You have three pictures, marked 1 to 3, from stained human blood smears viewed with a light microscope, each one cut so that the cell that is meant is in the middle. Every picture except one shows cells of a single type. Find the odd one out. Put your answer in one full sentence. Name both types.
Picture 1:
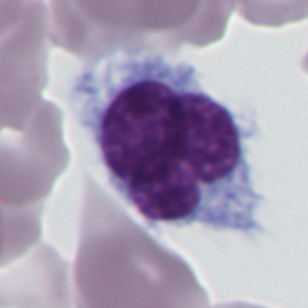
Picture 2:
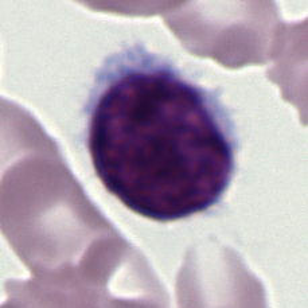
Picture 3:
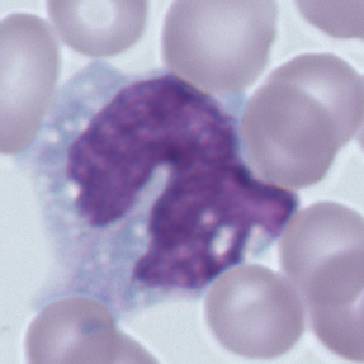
The different one is picture 3; it shows a monocyte, whereas all the others show hairy cells.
